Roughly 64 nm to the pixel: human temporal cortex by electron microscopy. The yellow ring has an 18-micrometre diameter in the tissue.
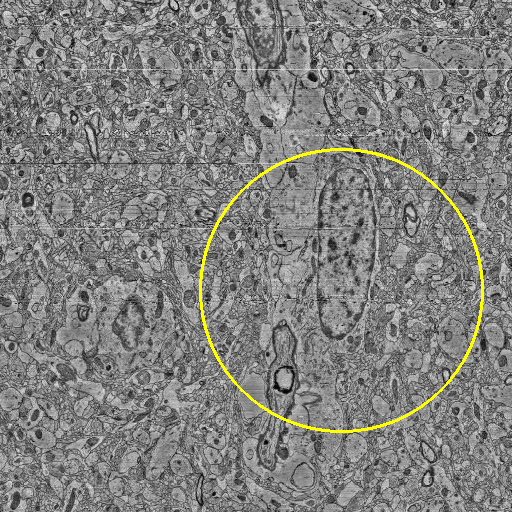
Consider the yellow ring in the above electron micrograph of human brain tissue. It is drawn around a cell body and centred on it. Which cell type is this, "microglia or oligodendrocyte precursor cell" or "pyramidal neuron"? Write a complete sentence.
The cell in question is a microglial cell or oligodendrocyte precursor cell.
